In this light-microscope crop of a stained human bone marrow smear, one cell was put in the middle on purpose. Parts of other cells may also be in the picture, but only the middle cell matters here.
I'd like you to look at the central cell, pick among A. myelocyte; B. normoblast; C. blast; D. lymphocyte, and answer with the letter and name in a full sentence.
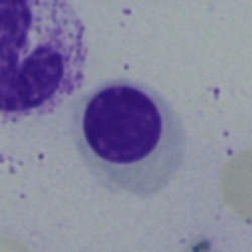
Identified correctly by option B, the cell in the middle is a normoblast.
